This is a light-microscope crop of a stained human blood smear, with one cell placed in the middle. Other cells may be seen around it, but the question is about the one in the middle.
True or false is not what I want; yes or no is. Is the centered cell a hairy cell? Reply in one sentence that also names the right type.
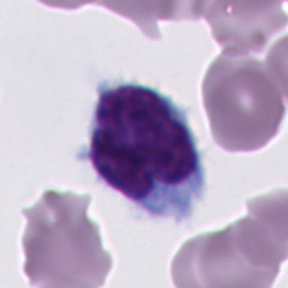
Yes, the cell occupying the center is a hairy cell.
